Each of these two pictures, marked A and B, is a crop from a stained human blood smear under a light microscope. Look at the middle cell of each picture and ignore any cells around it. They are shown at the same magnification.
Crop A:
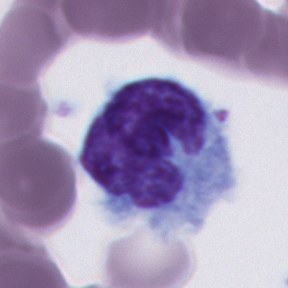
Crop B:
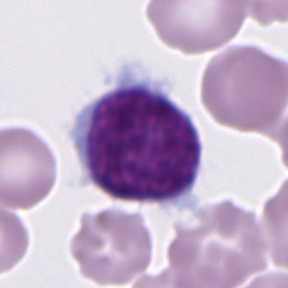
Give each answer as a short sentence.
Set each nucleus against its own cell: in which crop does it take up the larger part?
Of the two, the nucleus in crop B makes up the greater part of its cell.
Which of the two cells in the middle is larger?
It is the cell in crop A, about 1.5 times as large in area as the cell in crop B.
